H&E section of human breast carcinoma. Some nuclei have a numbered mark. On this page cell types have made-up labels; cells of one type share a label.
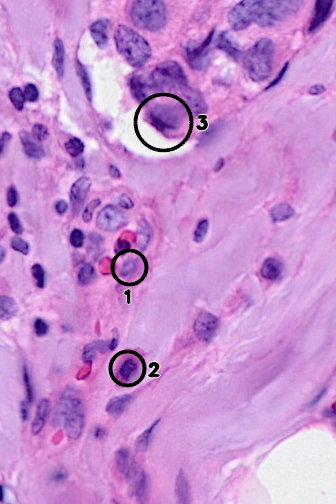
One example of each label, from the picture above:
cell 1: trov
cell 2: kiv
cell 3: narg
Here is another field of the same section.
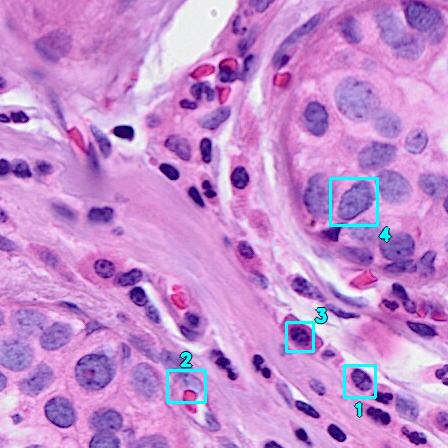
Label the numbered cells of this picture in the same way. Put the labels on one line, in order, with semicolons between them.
kiv; trov; kiv; narg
